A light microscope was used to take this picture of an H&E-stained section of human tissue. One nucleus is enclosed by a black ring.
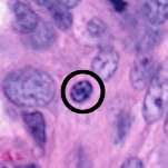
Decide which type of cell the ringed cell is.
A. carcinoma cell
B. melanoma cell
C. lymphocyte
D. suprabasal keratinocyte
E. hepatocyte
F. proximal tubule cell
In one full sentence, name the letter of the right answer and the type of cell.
Option C is the correct one, since the ringed cell is a lymphocyte.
